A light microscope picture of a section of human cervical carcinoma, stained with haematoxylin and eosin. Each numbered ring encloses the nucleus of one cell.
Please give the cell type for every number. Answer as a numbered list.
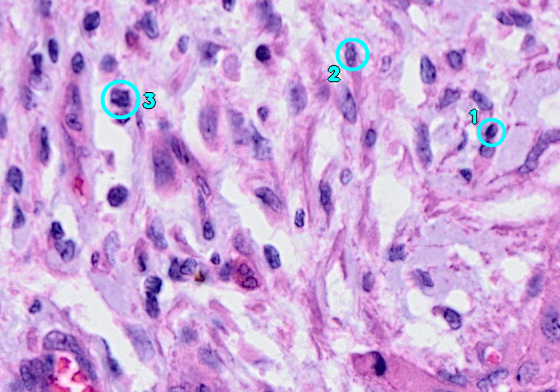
1. lymphocyte
2. fibroblast
3. lymphocyte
